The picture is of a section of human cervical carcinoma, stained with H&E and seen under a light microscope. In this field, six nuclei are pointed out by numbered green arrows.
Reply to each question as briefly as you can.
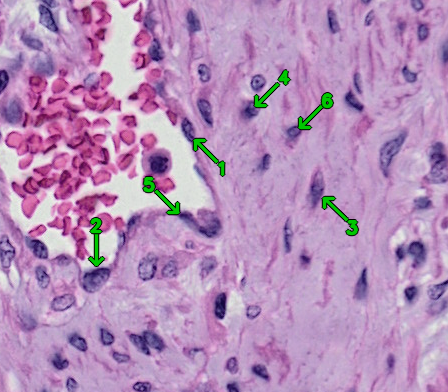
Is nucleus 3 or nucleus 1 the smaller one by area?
1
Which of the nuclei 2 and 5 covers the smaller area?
5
